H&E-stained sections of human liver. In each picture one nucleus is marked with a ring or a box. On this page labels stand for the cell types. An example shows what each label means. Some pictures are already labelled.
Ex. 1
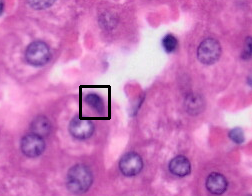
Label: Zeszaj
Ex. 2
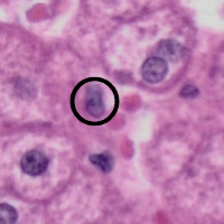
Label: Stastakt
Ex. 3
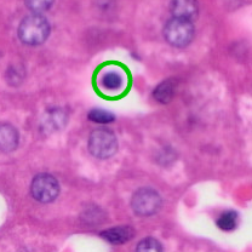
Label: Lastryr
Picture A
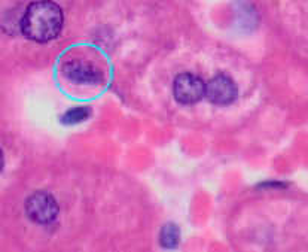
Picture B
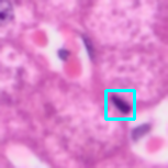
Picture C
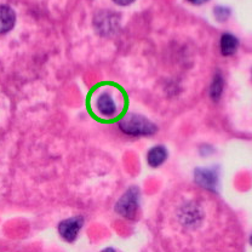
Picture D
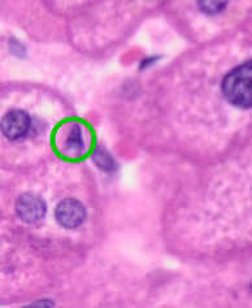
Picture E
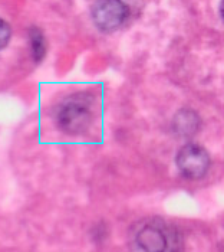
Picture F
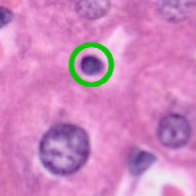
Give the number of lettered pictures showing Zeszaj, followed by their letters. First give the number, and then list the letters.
Count: 3 (A, B, D)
